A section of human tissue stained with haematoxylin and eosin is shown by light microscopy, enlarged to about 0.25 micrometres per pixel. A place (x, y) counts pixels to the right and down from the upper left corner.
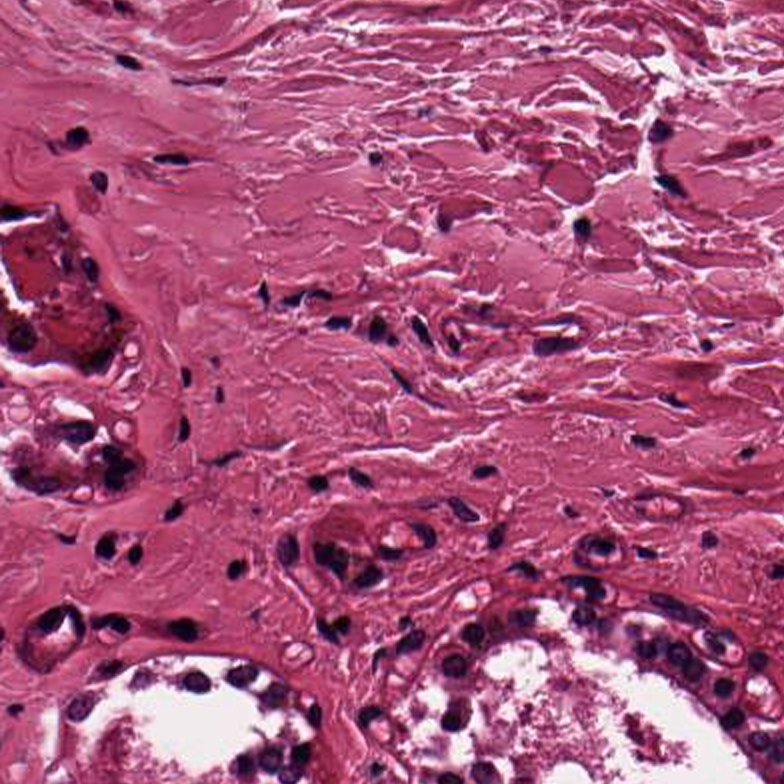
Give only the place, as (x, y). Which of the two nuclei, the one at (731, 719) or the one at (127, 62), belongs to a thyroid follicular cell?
(731, 719)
